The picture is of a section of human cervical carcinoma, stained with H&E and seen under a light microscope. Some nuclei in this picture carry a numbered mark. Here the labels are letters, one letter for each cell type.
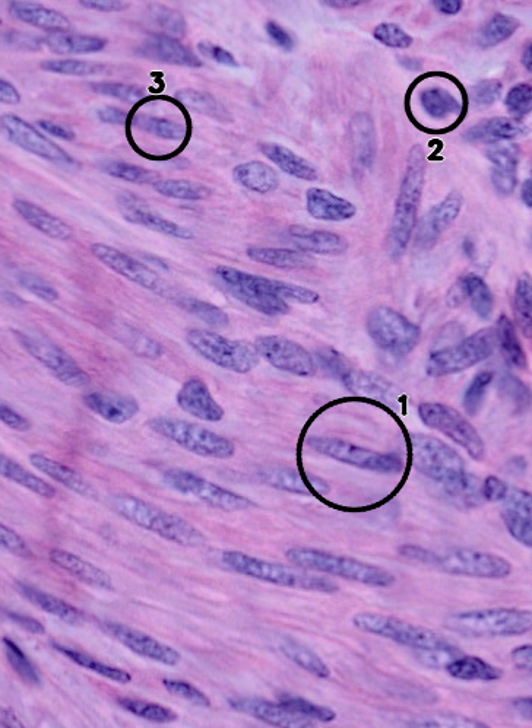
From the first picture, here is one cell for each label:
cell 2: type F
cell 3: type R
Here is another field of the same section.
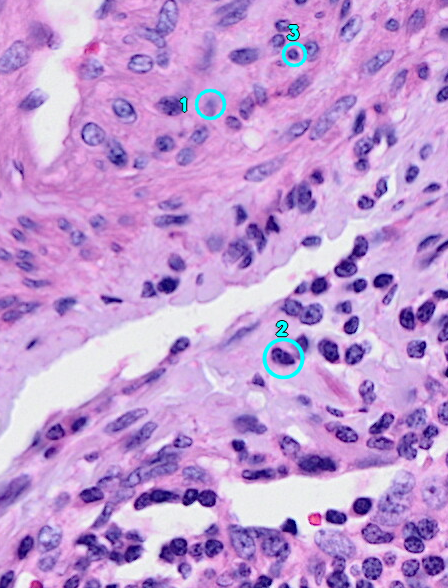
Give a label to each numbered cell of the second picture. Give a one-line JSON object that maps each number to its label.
{"1": "type R", "2": "type F", "3": "type R"}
